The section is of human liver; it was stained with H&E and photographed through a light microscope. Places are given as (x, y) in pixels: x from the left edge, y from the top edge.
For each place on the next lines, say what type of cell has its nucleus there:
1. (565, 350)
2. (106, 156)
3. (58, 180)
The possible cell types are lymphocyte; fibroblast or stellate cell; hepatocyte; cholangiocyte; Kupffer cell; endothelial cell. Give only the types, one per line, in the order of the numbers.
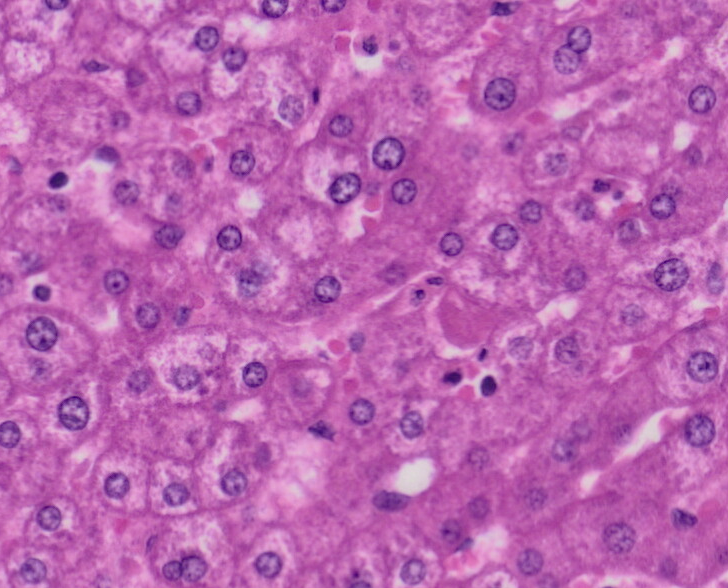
hepatocyte
endothelial cell
lymphocyte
